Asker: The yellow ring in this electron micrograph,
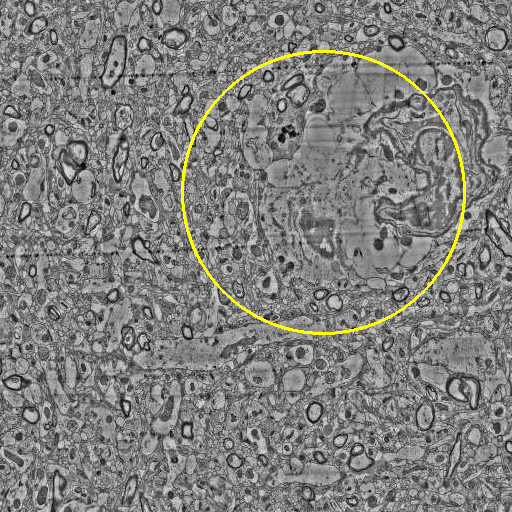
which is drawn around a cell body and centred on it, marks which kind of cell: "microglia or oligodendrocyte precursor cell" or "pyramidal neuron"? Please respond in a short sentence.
The marked cell is a microglial cell or oligodendrocyte precursor cell.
